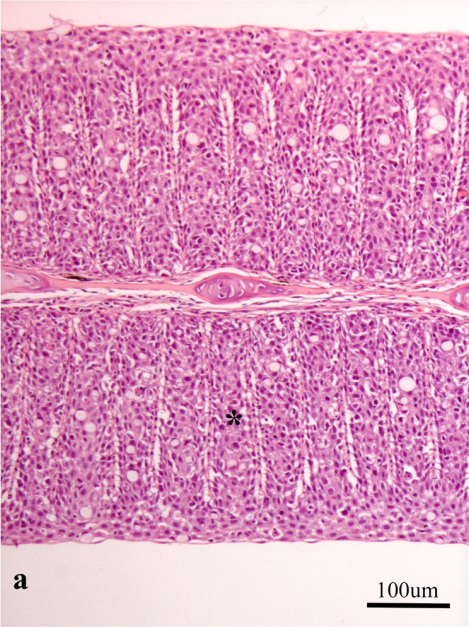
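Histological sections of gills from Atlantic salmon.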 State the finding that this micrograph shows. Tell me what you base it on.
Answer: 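No free lamellar tips project from the filament. Only thin lines of lamellar vessels remain visible inside a continuous cell mass.
Answer: total obstruction of respiratory surface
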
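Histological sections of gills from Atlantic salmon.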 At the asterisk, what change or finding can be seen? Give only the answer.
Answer: epithelial cell hyperplasia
